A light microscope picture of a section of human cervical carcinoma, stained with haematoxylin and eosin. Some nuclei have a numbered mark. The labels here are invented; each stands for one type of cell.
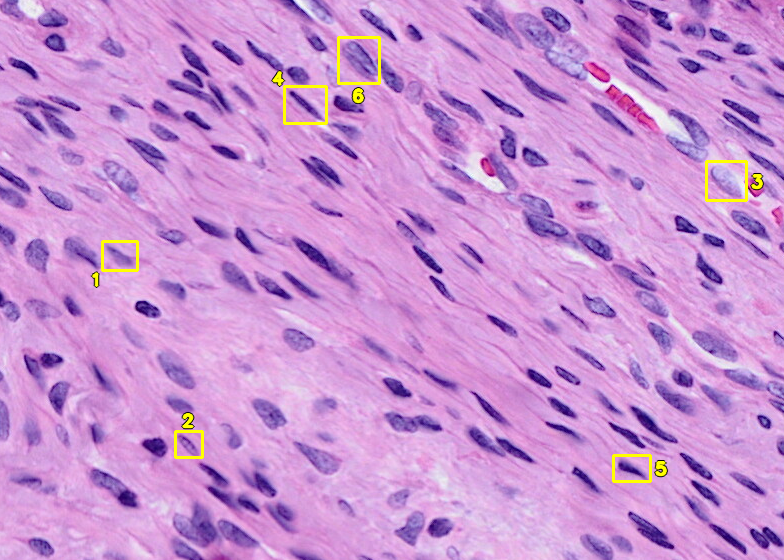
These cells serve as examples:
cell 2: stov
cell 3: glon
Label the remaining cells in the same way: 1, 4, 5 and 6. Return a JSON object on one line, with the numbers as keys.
{"1": "stov", "4": "stov", "5": "stov", "6": "glon"}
